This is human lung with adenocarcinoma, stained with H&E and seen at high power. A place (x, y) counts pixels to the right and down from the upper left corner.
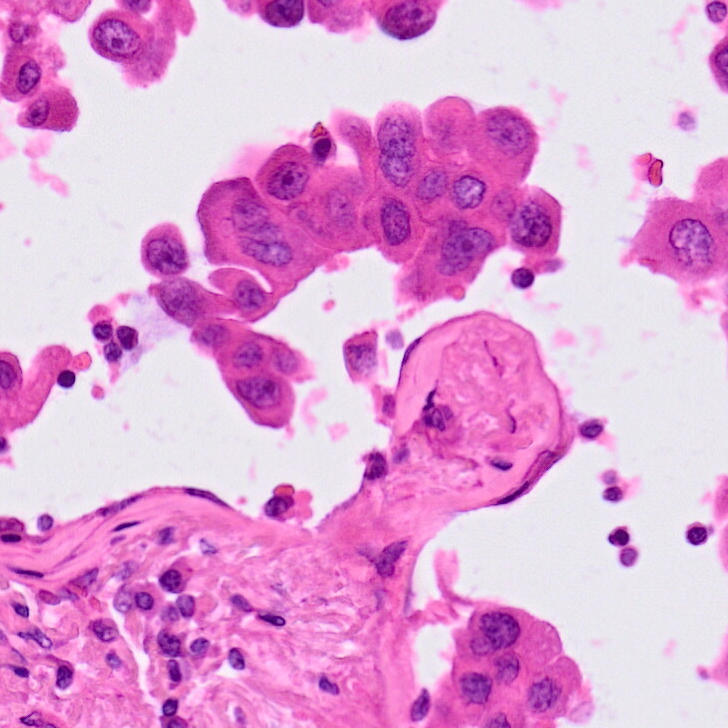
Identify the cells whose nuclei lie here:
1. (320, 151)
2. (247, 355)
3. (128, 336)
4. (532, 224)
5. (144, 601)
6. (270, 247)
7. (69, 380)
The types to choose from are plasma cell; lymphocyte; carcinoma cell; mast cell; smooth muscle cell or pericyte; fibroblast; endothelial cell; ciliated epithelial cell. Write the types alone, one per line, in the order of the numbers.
carcinoma cell
carcinoma cell
lymphocyte
carcinoma cell
plasma cell
carcinoma cell
lymphocyte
